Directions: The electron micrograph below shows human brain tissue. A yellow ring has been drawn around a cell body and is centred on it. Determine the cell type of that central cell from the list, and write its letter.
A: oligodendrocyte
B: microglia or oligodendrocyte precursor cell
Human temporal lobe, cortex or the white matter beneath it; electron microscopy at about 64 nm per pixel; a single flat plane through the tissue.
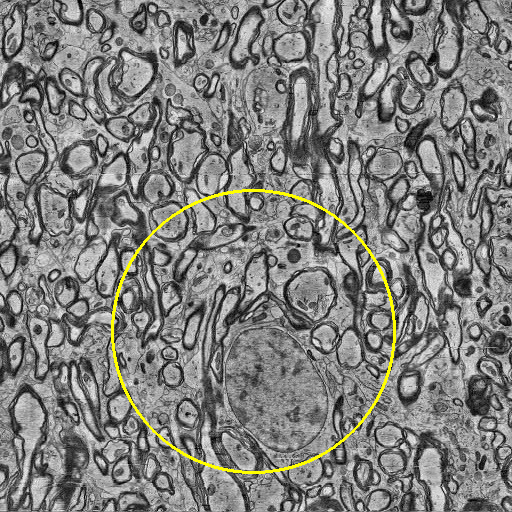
B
